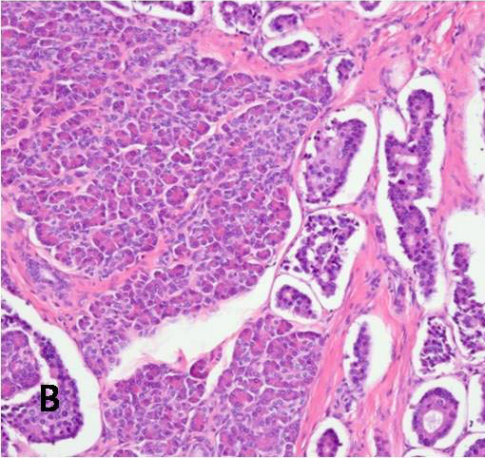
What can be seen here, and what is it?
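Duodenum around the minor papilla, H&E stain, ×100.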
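Tumor of uniform, round-shaped cells in a solid nest and a tubular pattern. On the left, a solid sheet of closely packed cells with small round dark-purple nuclei and pink cytoplasm. On the right, elongated and rounded tubular structures lined by cells with round basophilic nuclei, some with cell clusters within the spaces, separated by bands of pink collagenous stroma and clefts. Nuclei look fairly monotonous, without marked pleomorphism.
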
